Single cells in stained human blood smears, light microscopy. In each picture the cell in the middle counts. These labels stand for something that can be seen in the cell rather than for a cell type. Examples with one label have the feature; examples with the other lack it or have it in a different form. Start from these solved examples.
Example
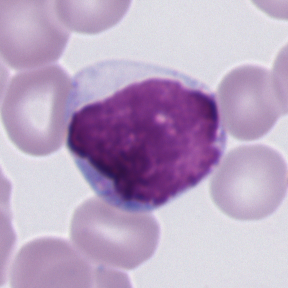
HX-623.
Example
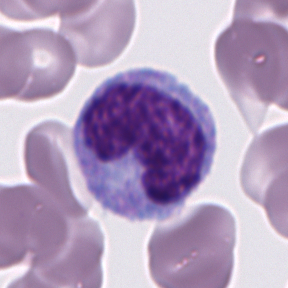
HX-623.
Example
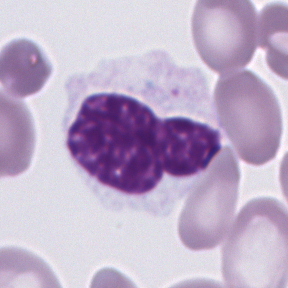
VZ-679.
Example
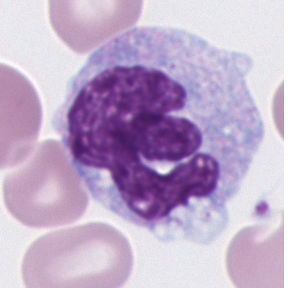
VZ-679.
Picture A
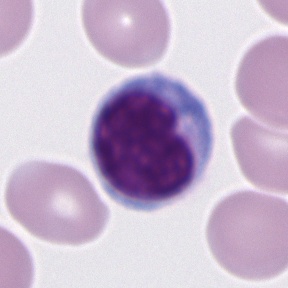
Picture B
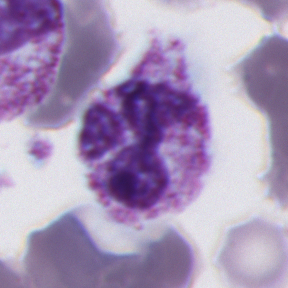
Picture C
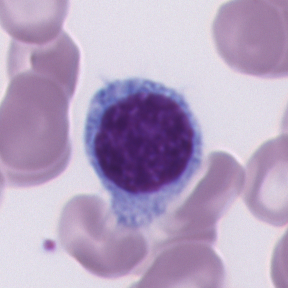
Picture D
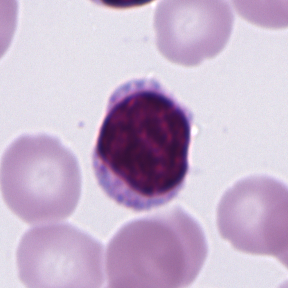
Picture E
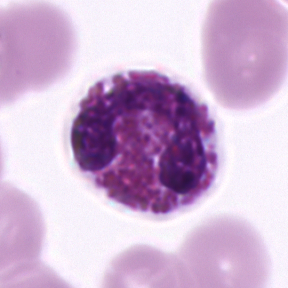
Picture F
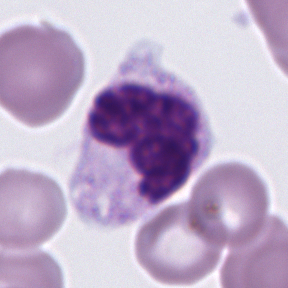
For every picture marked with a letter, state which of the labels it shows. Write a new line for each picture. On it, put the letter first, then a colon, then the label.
A: HX-623.
B: VZ-679.
C: VZ-679.
D: HX-623.
E: HX-623.
F: VZ-679.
